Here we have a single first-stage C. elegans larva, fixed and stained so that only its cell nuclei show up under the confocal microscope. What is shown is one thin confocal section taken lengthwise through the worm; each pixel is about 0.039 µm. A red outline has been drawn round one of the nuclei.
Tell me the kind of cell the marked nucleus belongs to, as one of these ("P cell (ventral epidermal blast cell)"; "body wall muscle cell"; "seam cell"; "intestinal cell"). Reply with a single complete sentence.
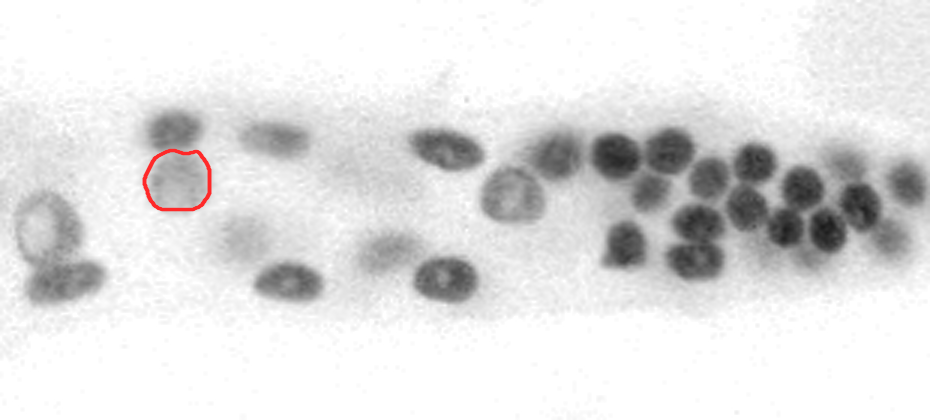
It belongs to a seam cell.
